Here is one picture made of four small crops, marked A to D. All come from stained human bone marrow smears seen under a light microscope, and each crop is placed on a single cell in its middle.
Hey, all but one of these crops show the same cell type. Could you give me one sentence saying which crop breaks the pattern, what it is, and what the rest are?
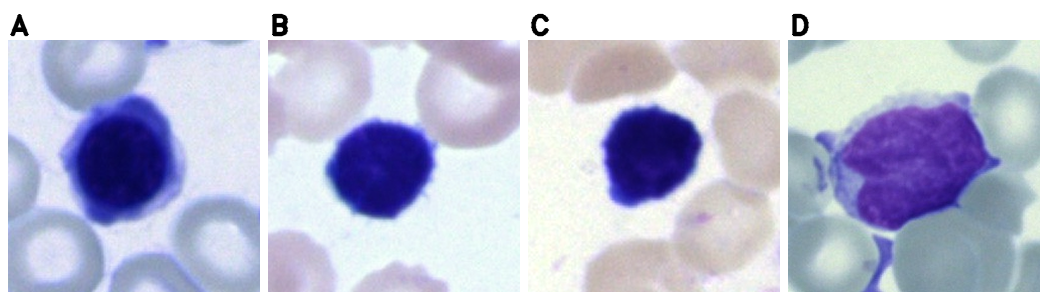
There is an erythroblast in crop A, while all the other crops show lymphocytes.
